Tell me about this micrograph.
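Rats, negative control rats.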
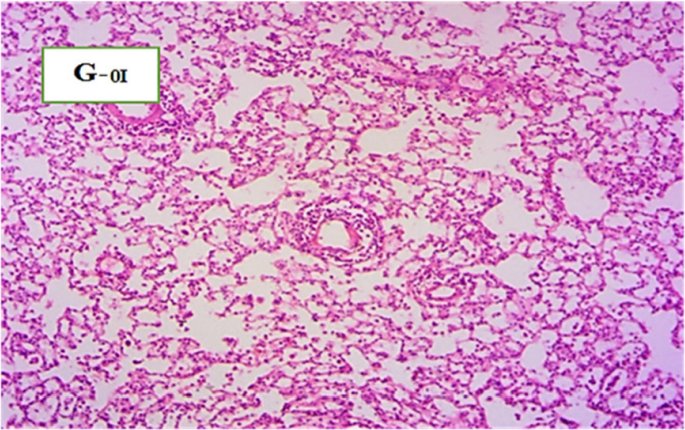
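This is lung parenchyma: a lacy network of thin pink alveolar walls with small purple nuclei surrounds many empty, irregular air spaces. Small airways and blood vessels with thicker pink walls lie scattered among the air spaces.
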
